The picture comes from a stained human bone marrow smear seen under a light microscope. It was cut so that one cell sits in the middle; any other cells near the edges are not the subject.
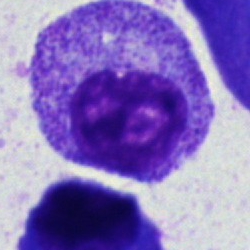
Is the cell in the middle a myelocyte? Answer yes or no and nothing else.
yes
